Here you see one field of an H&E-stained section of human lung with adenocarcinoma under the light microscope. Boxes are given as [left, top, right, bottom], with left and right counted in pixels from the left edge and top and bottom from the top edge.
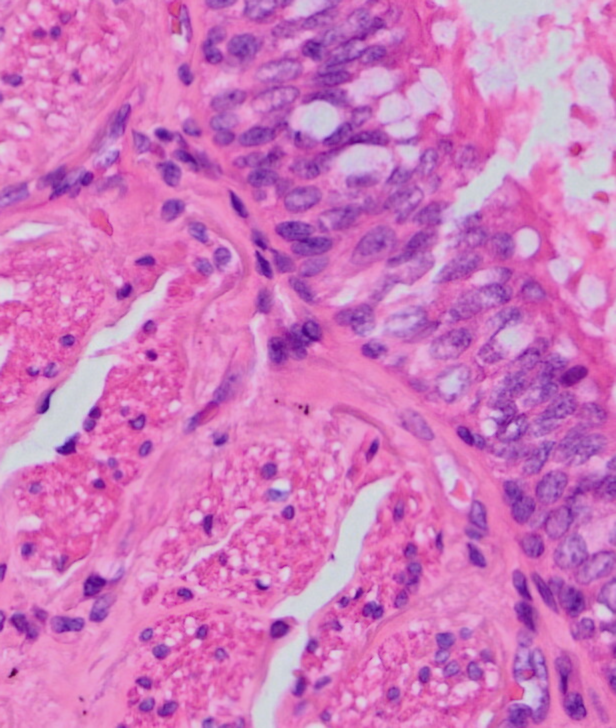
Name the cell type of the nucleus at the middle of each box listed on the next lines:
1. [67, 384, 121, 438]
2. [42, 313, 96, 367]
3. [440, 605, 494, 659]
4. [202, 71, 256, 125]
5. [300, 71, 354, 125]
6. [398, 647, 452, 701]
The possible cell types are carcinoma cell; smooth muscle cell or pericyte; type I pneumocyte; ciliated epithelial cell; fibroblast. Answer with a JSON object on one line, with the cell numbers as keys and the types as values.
{"1": "smooth muscle cell or pericyte", "2": "smooth muscle cell or pericyte", "3": "smooth muscle cell or pericyte", "4": "ciliated epithelial cell", "5": "ciliated epithelial cell", "6": "smooth muscle cell or pericyte"}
